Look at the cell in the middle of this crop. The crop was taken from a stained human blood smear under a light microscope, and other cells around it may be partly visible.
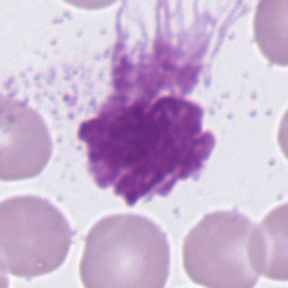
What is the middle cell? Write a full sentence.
By type, the central cell of the crop is a smudge cell.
